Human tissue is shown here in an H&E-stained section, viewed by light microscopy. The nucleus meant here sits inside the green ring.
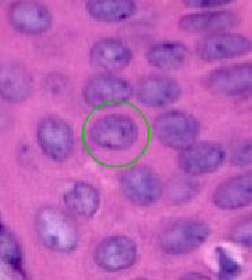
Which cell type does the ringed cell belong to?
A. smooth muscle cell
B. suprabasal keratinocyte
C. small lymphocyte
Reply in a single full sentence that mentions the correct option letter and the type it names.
The correct option is B, as the ringed cell is a suprabasal keratinocyte.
